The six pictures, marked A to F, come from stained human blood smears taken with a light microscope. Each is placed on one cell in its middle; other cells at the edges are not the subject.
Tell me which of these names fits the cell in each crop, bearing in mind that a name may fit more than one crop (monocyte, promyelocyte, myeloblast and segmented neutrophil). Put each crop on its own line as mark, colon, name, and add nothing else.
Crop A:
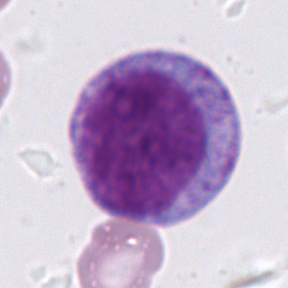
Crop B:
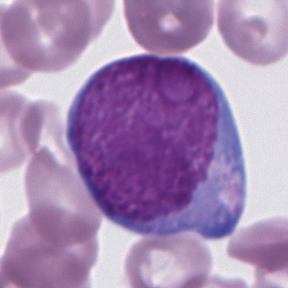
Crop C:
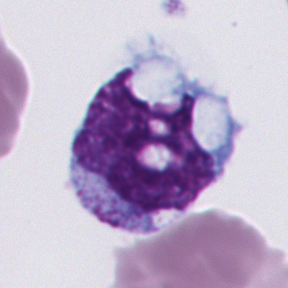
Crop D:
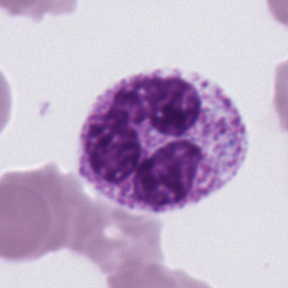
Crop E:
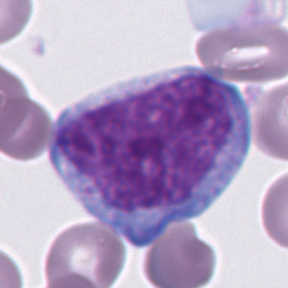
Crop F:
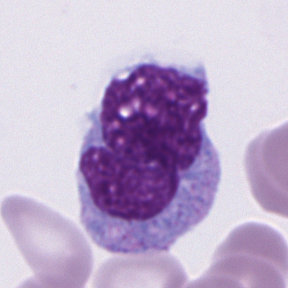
A: promyelocyte
B: myeloblast
C: monocyte
D: segmented neutrophil
E: promyelocyte
F: monocyte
